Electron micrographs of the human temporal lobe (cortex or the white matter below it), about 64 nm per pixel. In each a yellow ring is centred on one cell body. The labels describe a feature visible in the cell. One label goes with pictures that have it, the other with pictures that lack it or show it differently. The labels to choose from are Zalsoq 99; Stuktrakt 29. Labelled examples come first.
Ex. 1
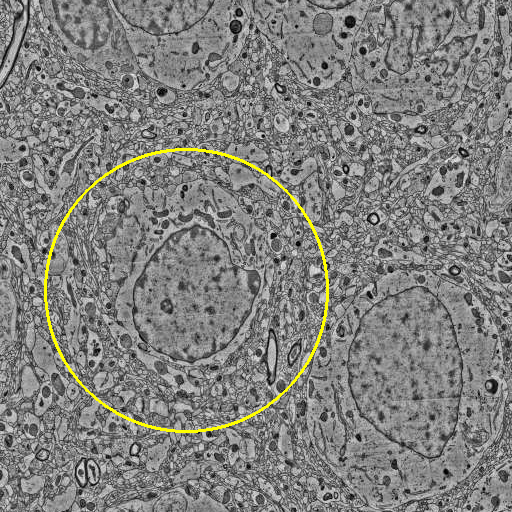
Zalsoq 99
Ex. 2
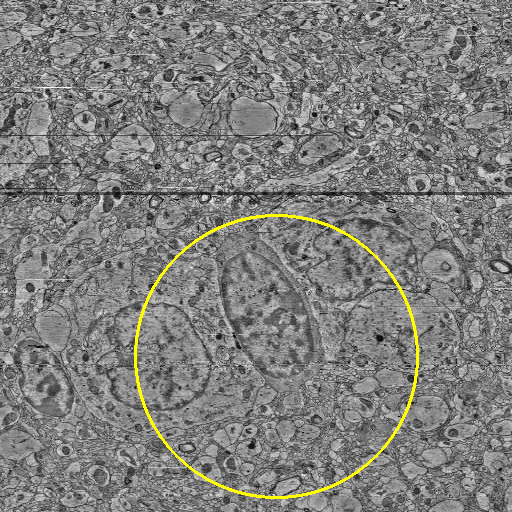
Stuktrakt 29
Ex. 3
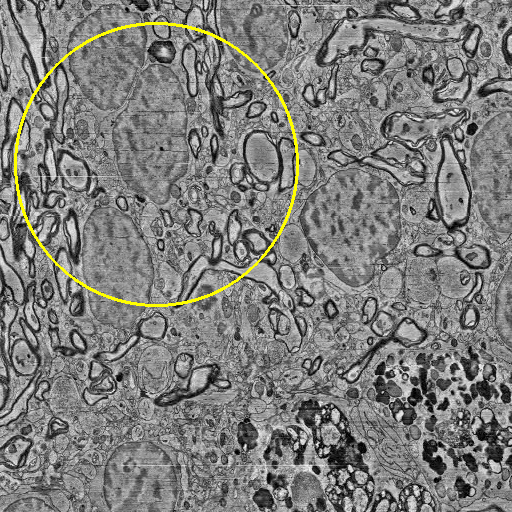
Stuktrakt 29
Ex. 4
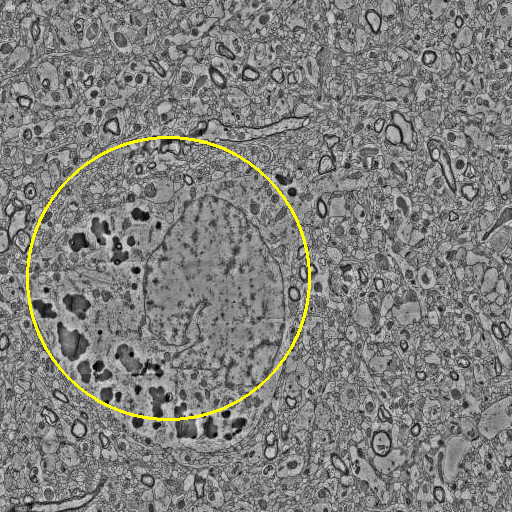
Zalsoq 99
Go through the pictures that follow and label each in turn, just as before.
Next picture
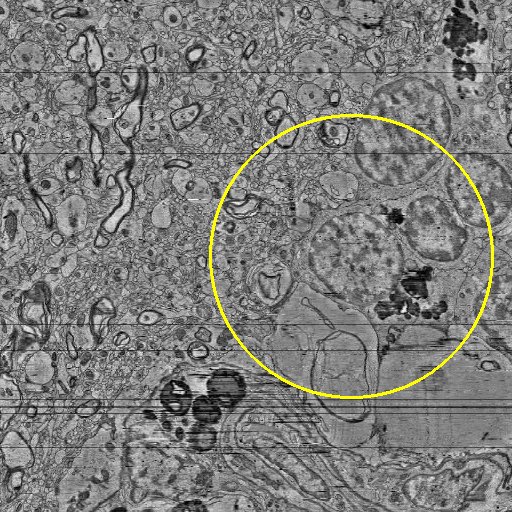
Zalsoq 99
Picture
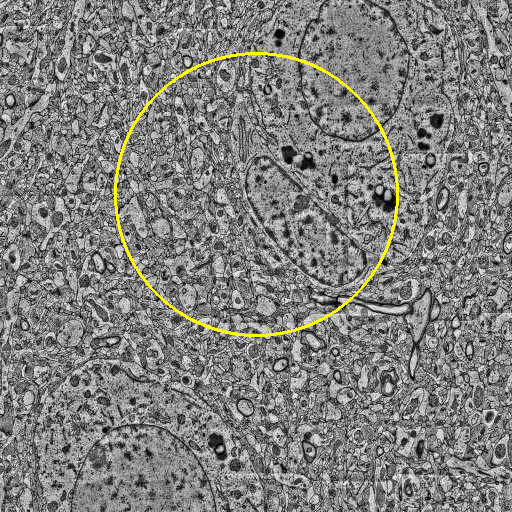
Stuktrakt 29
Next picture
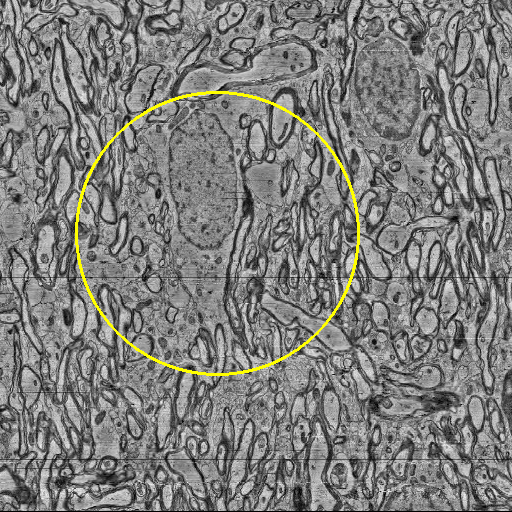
Stuktrakt 29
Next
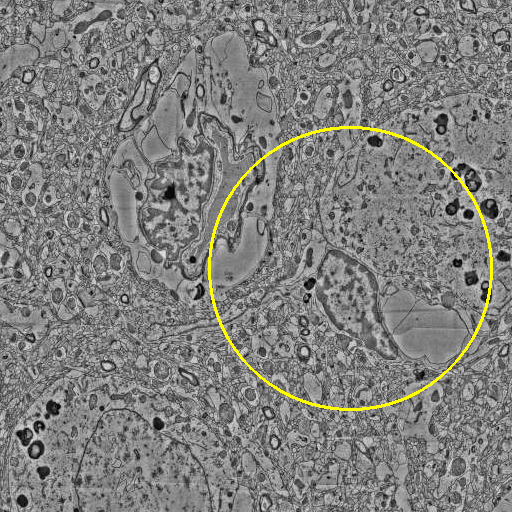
Stuktrakt 29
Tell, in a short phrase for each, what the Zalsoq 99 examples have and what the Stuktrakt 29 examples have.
In Zalsoq 99: round or nearly round nuclei. In Stuktrakt 29: clearly elongated nuclei.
